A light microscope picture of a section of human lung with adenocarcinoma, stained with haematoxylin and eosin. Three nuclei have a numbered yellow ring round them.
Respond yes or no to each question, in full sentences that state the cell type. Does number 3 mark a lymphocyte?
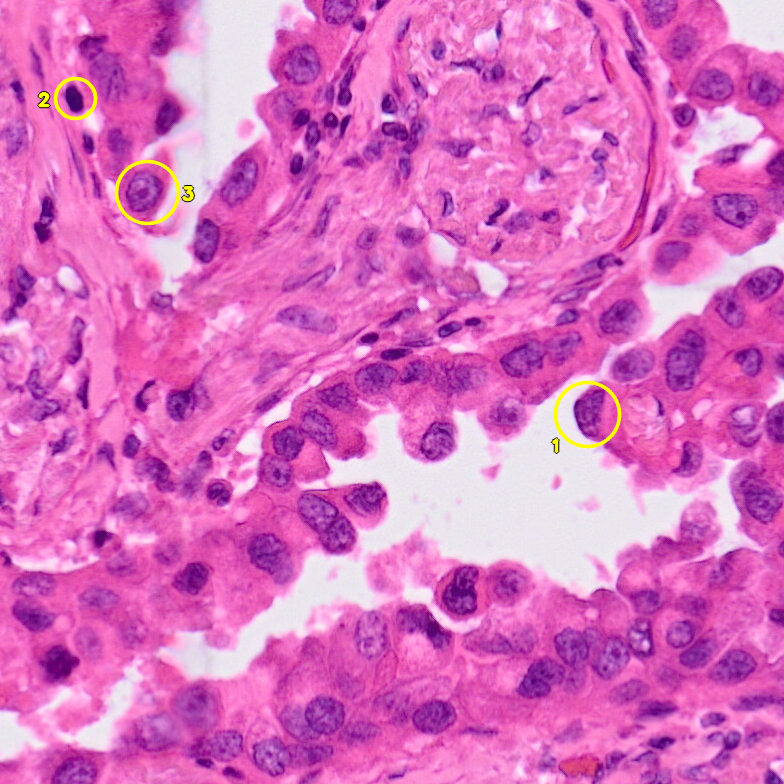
No, number 3 is not a lymphocyte; it is a carcinoma cell.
